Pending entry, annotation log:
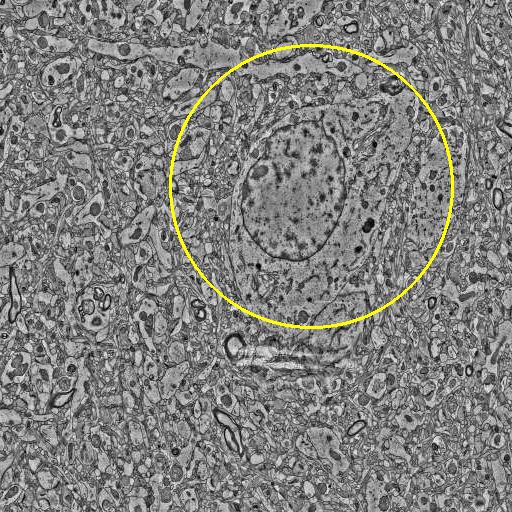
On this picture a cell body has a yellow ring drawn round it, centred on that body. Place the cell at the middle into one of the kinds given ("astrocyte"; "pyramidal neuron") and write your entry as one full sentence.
The cell body at the middle of the yellow ring belongs to a pyramidal neuron.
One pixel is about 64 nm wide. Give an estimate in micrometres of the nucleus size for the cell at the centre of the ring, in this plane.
The ringed cell's nucleus measures approximately 9 by 7 micrometres in this plane.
